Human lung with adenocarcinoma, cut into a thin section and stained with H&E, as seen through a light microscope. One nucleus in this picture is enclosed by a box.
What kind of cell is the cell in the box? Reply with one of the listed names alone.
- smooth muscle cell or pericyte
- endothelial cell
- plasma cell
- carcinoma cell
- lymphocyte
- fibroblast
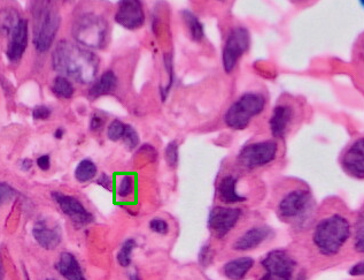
endothelial cell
